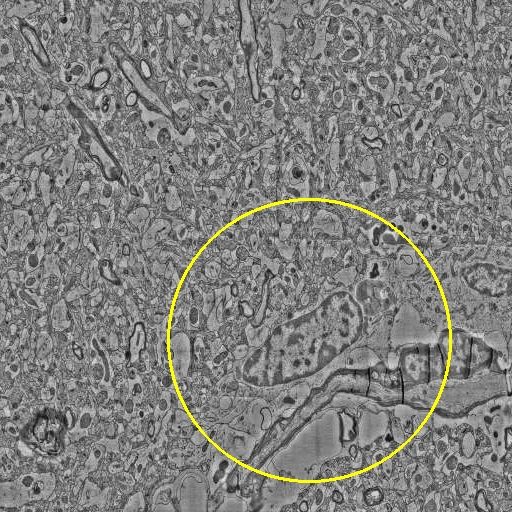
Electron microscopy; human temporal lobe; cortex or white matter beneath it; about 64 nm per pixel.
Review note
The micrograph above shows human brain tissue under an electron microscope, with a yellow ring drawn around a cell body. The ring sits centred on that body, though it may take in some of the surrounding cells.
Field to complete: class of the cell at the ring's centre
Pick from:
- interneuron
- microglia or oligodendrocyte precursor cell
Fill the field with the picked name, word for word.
microglia or oligodendrocyte precursor cell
